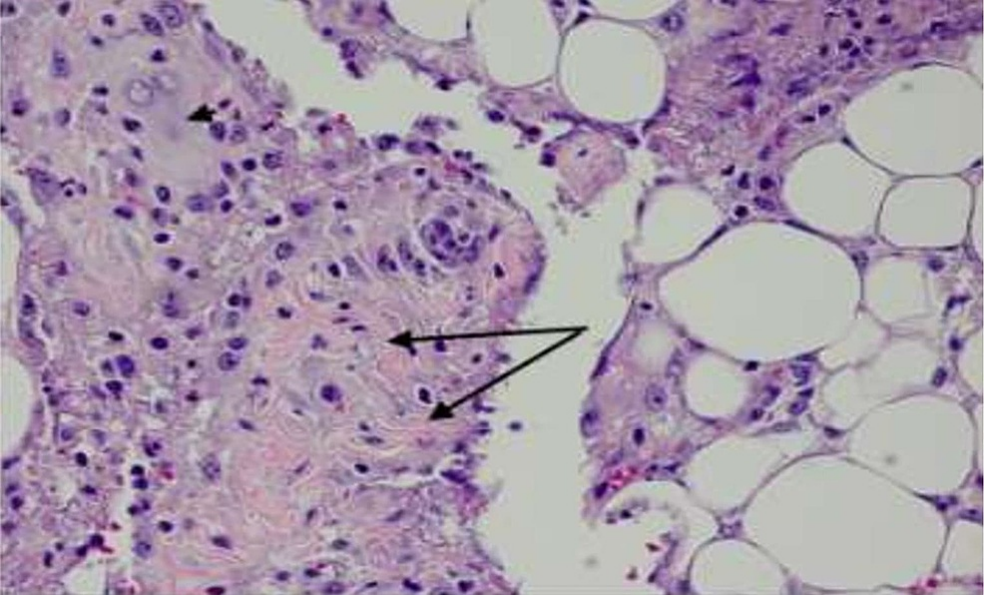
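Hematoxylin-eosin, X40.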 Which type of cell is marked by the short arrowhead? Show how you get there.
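The arrowhead at the upper left points to a large cell with broad pale pink cytoplasm. Large cells with broad cytoplasm lie among the smaller inflammatory cells. The answer: giant cells.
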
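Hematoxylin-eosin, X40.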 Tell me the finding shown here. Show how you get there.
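Dense inflammatory reaction. Many small, round, dark purple nuclei crowd the tissue on the left. Inflammatory cells also spread between the fat cells.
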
